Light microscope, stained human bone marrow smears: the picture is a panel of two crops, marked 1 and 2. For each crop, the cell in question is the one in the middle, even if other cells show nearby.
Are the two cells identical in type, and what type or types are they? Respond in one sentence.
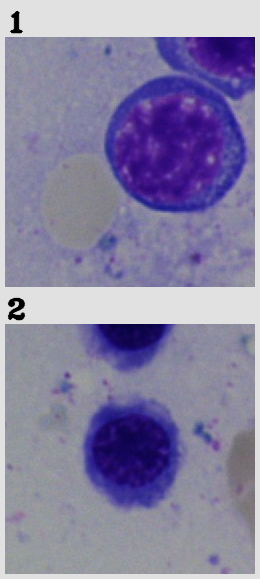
Yes, the cells in the centres of the two crops are erythroblasts.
